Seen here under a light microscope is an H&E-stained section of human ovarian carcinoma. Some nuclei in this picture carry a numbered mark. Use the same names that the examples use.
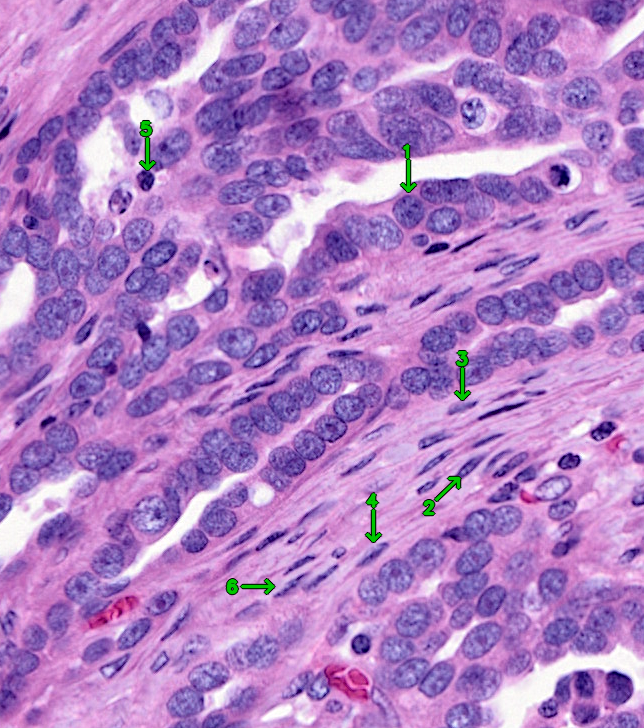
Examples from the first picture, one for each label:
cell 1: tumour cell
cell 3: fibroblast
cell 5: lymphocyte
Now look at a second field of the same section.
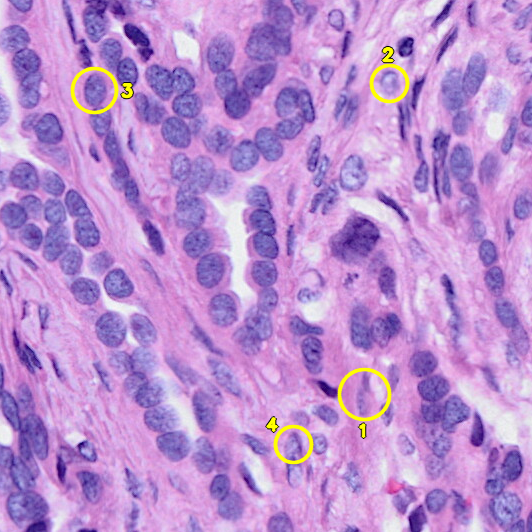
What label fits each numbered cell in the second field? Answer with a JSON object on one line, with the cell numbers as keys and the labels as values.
{"1": "fibroblast", "2": "fibroblast", "3": "tumour cell", "4": "fibroblast"}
